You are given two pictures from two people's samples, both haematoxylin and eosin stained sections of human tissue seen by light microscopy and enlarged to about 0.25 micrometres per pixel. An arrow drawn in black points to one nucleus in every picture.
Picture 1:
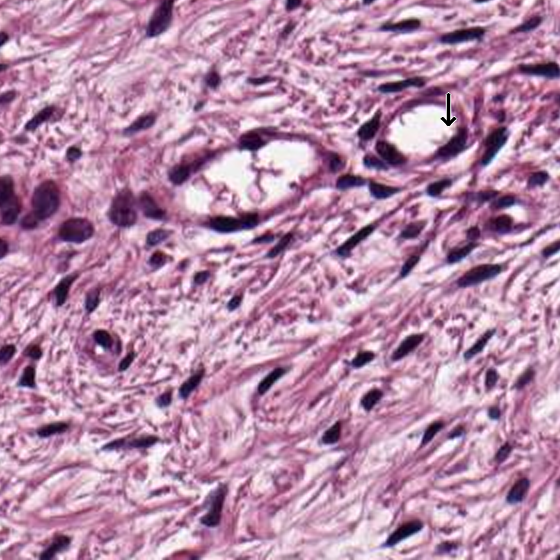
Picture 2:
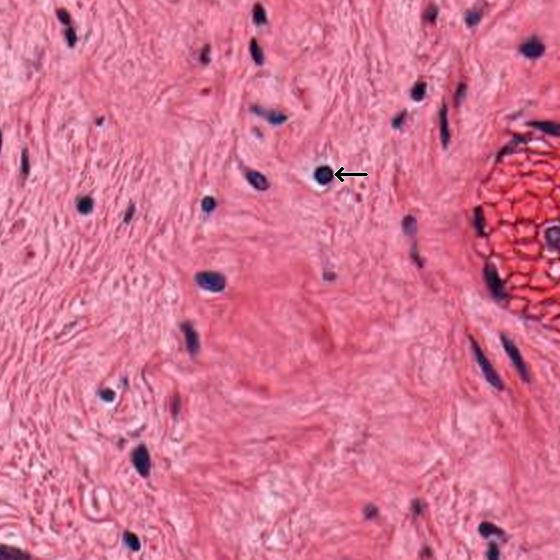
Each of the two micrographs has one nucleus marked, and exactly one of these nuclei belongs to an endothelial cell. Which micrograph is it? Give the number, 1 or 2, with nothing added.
1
